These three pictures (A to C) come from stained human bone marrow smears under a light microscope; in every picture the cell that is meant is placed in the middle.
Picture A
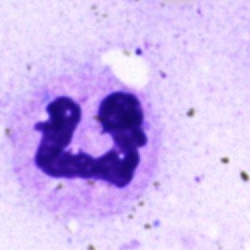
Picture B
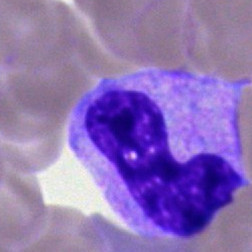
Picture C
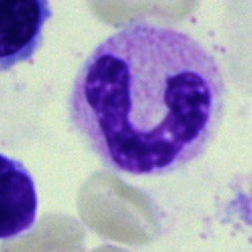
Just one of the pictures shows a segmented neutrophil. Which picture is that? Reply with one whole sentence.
Picture A shows the segmented neutrophil.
